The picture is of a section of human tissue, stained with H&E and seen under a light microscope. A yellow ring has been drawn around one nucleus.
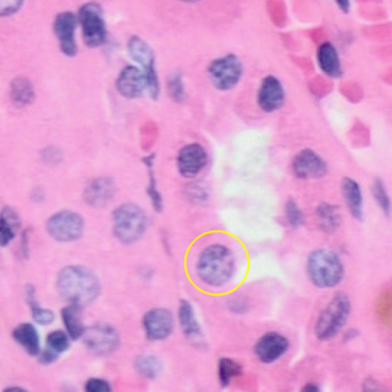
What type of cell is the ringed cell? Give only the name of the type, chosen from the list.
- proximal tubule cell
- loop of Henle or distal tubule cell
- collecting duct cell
loop of Henle or distal tubule cell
